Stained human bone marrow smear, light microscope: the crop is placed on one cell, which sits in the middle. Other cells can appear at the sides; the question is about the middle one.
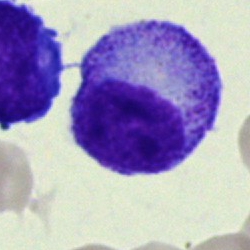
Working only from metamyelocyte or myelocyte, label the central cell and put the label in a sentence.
In this smear crop, the middle cell is a myelocyte.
